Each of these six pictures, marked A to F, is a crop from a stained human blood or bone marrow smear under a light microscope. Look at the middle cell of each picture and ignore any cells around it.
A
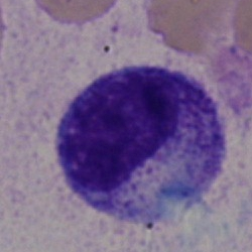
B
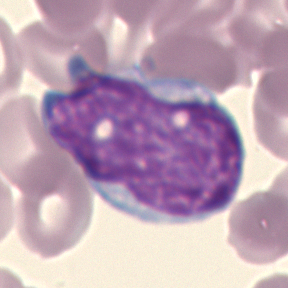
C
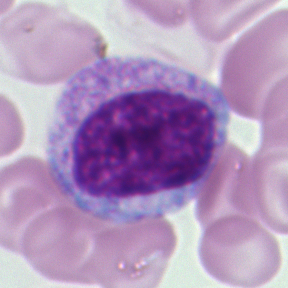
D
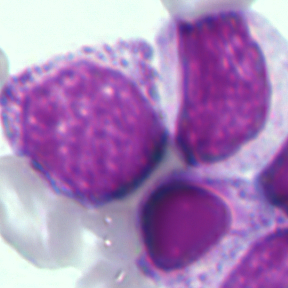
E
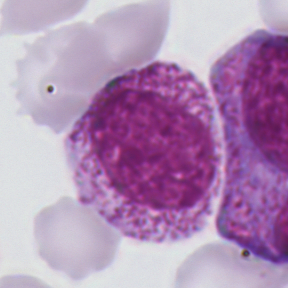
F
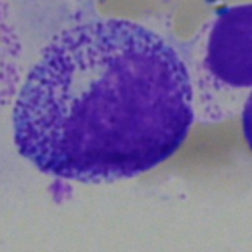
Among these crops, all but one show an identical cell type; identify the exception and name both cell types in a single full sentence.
Of all the crops, only crop B shows a blast; the others show myelocytes.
